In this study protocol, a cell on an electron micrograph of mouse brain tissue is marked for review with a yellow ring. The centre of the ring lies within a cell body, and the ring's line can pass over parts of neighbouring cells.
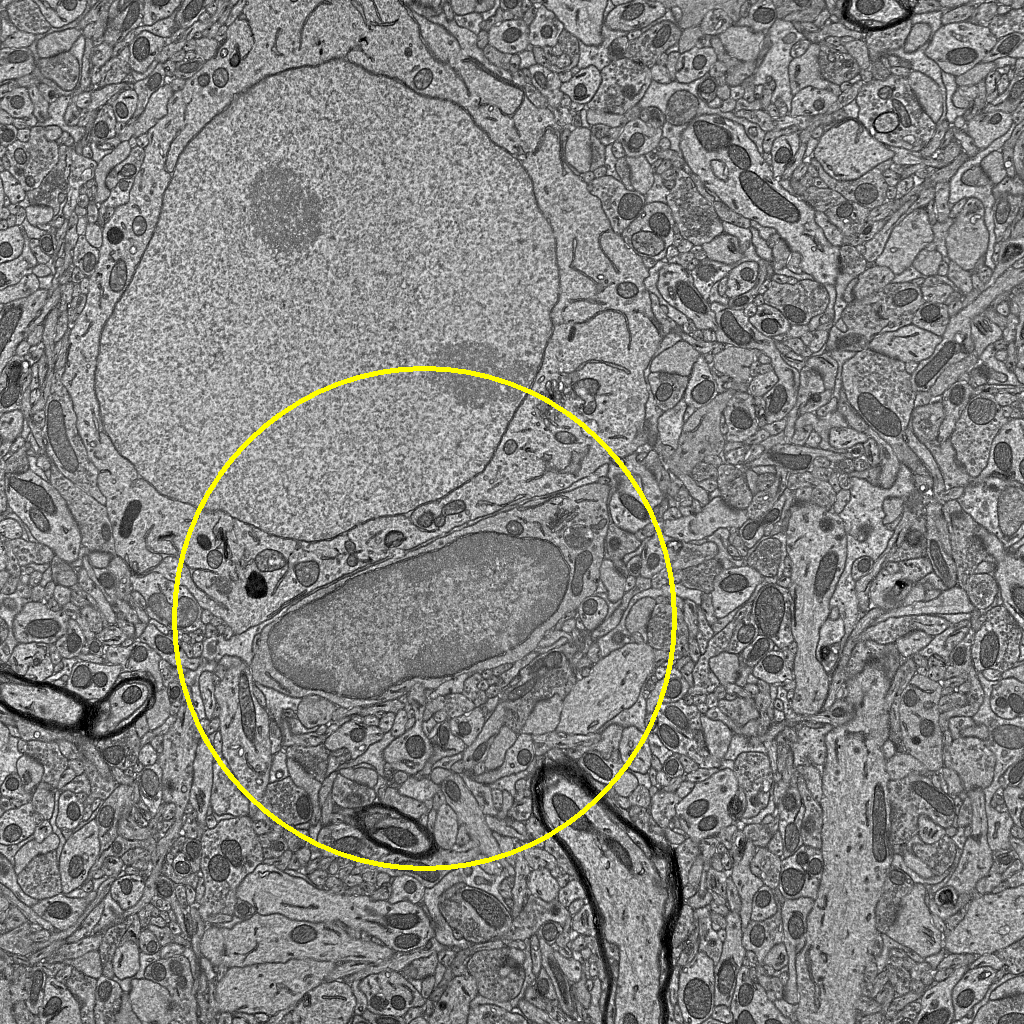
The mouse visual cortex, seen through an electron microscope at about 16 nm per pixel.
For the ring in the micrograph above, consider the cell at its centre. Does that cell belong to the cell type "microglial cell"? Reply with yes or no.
yes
